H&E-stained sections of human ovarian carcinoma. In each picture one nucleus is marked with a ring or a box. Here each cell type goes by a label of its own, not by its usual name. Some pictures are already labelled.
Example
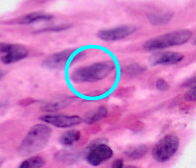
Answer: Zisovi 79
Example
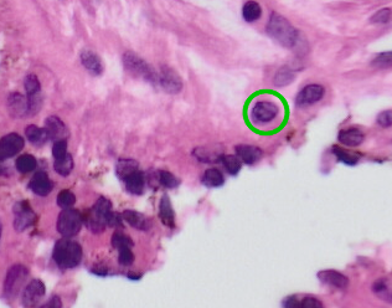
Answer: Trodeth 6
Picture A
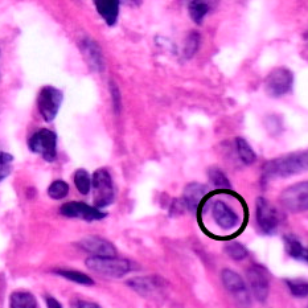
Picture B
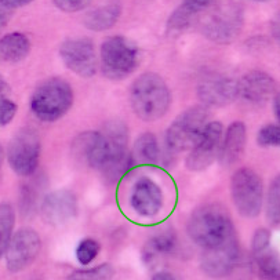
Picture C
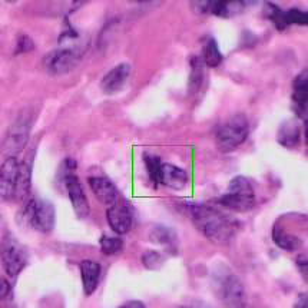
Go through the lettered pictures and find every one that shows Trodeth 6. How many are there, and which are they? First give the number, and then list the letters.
3, namely A, B, C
